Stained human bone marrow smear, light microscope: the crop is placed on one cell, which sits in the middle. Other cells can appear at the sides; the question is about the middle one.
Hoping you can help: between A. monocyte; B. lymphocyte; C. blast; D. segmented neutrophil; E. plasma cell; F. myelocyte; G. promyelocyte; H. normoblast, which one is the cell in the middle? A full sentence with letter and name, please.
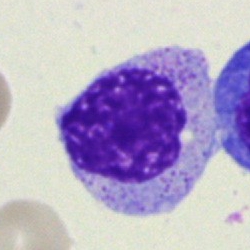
That middle cell is a myelocyte, and option F is therefore correct.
